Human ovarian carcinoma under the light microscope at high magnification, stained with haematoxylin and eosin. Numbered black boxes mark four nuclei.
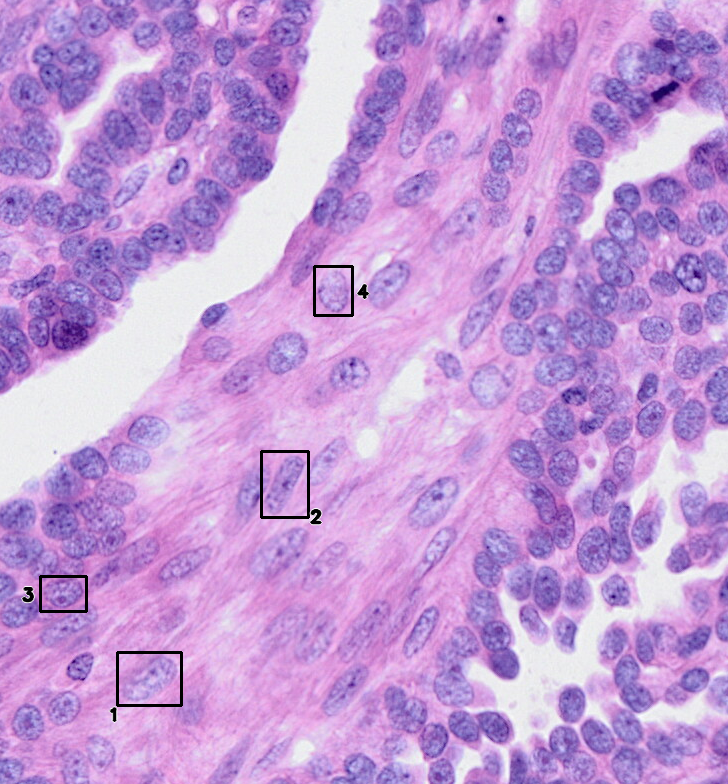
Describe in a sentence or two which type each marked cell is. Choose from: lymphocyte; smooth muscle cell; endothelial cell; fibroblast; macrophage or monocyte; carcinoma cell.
Cells 1, 2 and 4 are fibroblasts. Cell 3 is a carcinoma cell.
